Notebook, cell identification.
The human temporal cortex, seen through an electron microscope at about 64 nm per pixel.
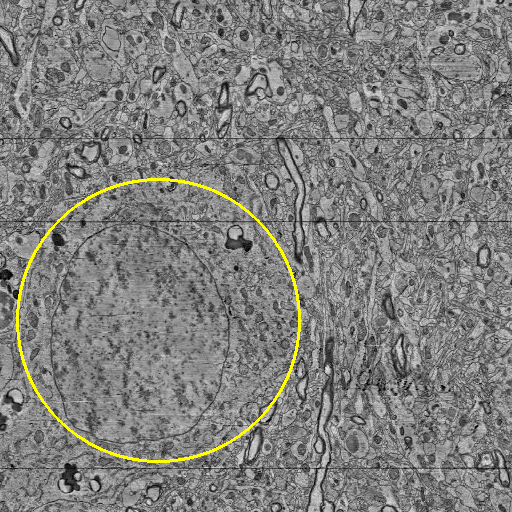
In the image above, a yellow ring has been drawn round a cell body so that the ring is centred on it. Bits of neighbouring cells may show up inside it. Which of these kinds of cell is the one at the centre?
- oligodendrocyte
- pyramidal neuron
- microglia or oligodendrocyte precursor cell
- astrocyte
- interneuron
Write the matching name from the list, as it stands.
pyramidal neuron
